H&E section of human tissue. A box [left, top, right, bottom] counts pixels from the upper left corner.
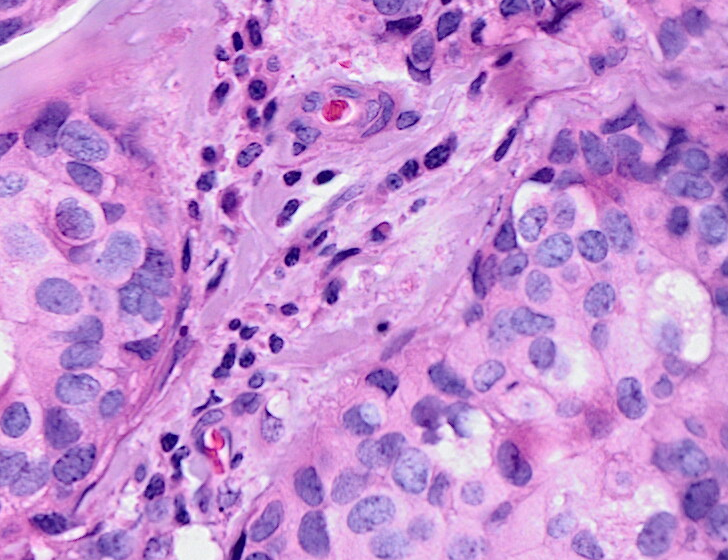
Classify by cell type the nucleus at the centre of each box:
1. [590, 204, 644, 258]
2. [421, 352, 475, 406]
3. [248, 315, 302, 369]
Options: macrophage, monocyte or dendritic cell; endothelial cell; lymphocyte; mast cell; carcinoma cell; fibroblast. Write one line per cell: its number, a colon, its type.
1: carcinoma cell
2: carcinoma cell
3: lymphocyte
